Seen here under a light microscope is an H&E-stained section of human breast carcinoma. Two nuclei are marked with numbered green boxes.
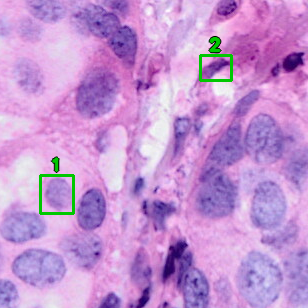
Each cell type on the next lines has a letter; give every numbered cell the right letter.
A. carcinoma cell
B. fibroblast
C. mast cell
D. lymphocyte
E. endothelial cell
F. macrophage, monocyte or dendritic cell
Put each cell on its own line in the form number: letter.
1: A
2: B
